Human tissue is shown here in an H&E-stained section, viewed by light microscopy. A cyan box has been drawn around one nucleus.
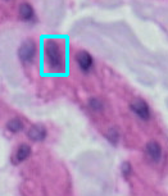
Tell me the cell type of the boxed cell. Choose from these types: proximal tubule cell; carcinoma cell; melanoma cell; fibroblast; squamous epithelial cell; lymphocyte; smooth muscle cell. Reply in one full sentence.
The boxed cell is a smooth muscle cell.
